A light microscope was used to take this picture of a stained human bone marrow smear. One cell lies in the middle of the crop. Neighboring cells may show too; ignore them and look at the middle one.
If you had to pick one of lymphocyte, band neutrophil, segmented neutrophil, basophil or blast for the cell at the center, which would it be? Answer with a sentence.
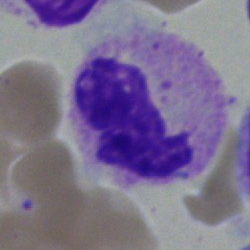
The centrally located cell in the crop is a basophil.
